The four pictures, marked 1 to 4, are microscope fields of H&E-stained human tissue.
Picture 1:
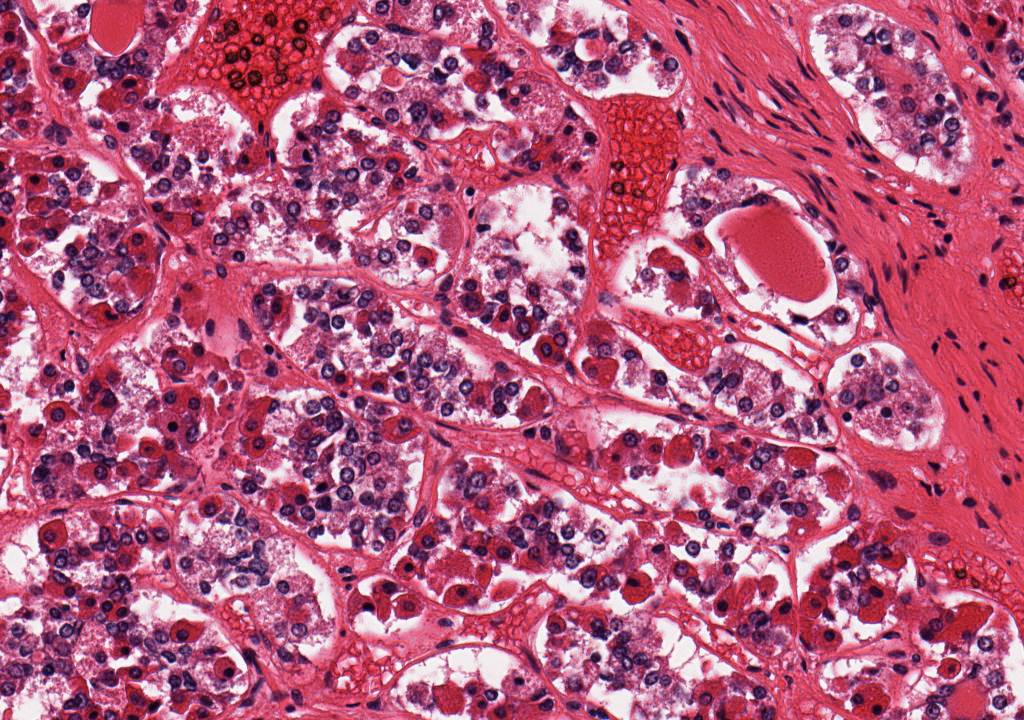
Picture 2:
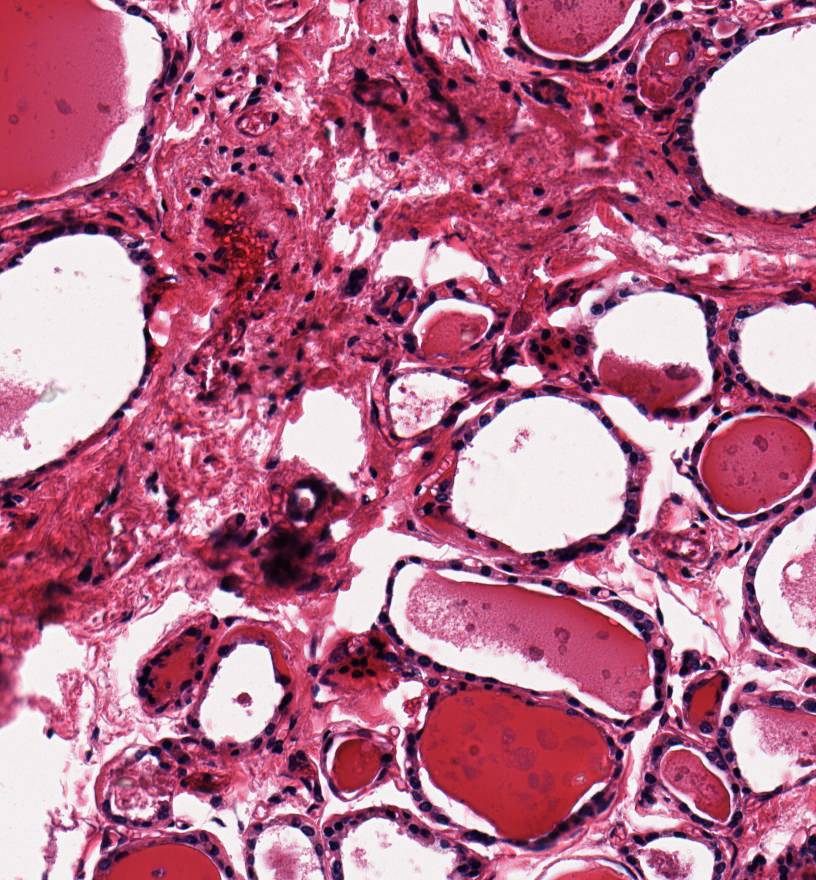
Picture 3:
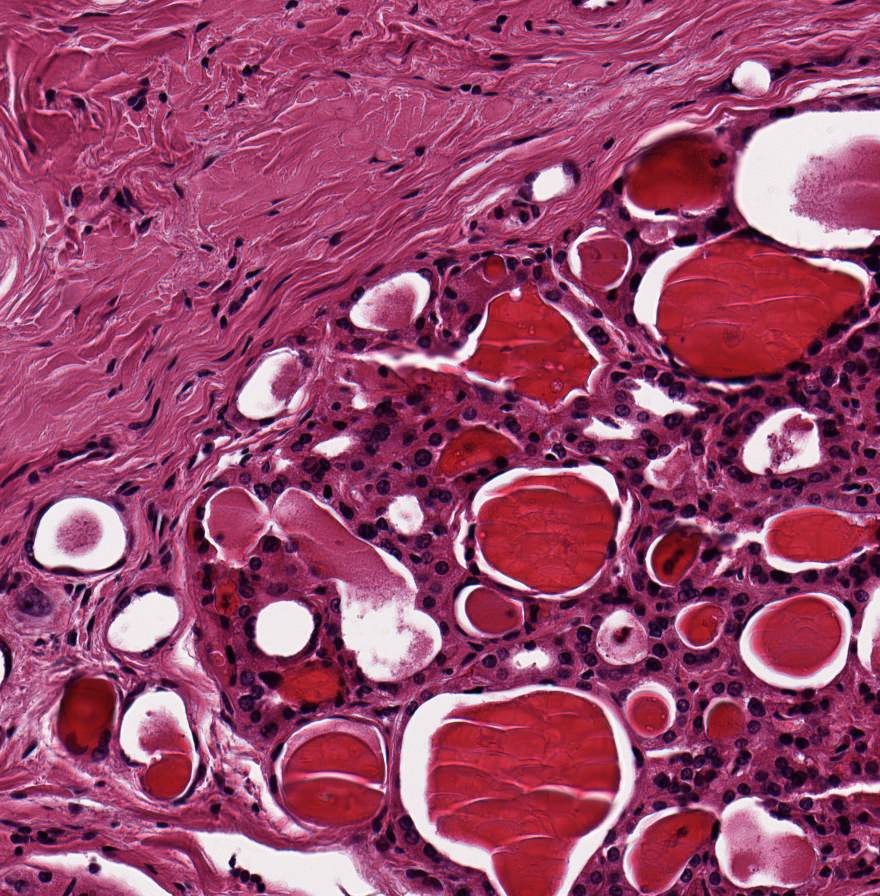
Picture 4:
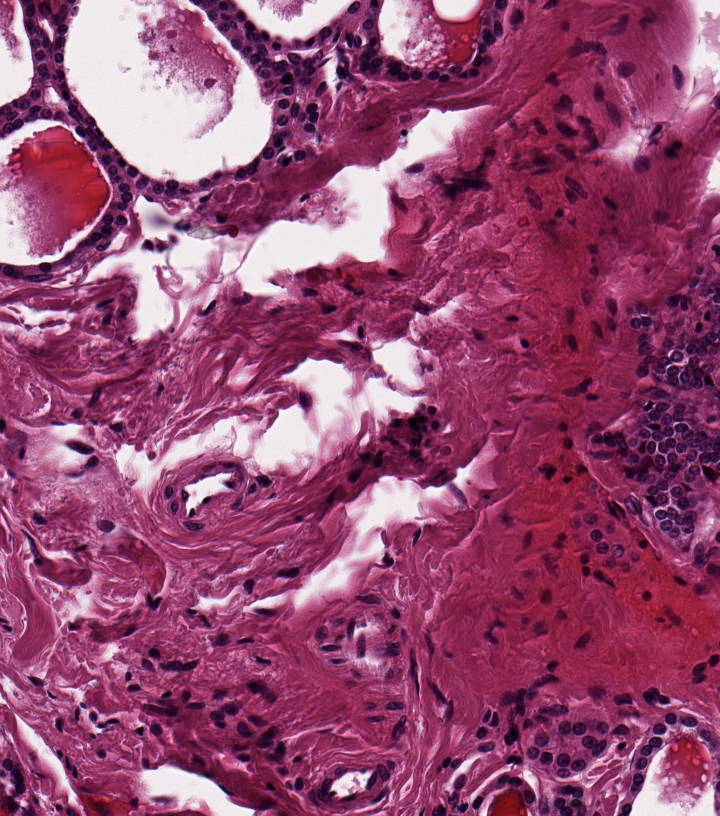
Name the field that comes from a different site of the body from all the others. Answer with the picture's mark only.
1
